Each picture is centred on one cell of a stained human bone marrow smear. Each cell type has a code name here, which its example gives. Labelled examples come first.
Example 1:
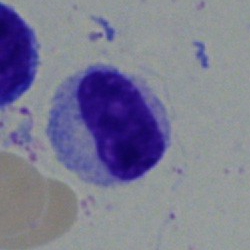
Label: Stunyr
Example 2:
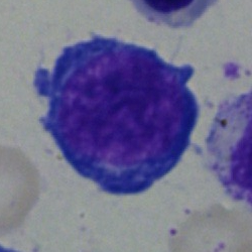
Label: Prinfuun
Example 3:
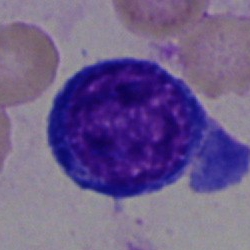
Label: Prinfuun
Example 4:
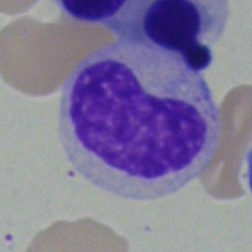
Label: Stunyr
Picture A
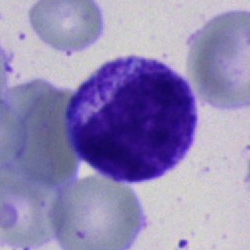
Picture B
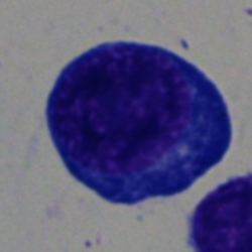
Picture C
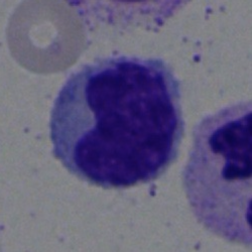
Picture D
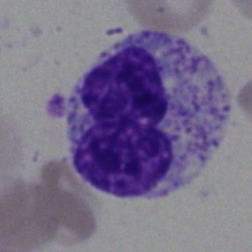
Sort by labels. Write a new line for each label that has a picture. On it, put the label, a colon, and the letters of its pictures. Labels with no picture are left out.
Stunyr: A, C, D
Prinfuun: B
